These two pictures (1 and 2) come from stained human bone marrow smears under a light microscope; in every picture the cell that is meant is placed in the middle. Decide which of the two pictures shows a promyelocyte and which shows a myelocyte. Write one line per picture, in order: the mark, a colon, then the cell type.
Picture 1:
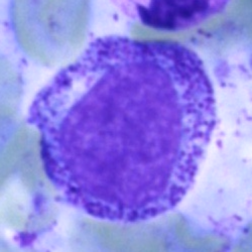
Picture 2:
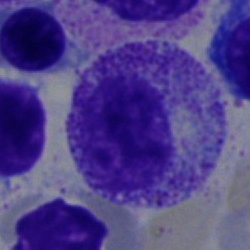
1: promyelocyte
2: myelocyte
